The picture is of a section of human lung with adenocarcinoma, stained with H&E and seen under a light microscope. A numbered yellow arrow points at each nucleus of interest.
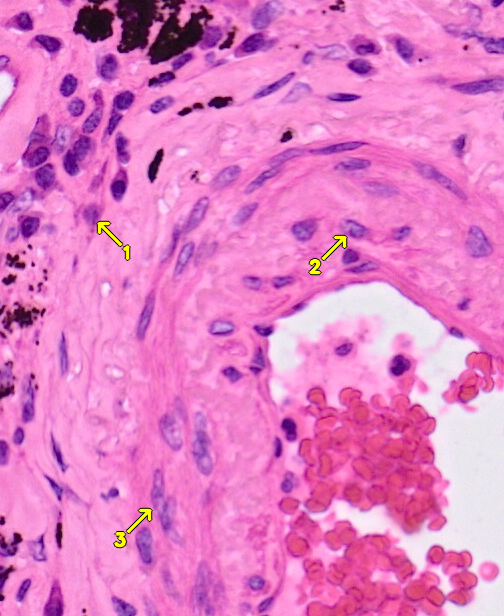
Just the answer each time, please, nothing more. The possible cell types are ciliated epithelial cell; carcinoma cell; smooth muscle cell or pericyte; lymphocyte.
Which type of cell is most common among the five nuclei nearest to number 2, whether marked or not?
smooth muscle cell or pericyte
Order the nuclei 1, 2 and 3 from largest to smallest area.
3, 2, 1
